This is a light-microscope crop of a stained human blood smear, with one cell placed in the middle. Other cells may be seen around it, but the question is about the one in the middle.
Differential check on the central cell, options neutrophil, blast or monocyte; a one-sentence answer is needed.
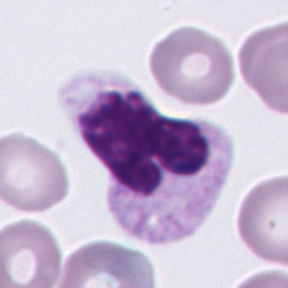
In this crop, the cell at the very middle is a neutrophil.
